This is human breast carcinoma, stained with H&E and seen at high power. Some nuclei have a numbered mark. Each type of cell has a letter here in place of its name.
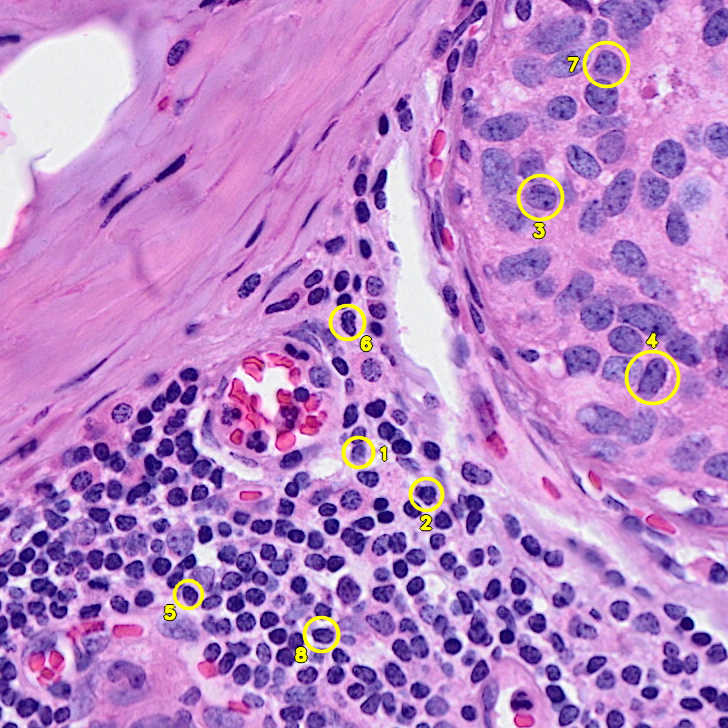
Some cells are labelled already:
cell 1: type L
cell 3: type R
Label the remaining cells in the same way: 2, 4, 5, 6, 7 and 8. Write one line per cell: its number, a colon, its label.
2: type L
4: type R
5: type L
6: type L
7: type R
8: type L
